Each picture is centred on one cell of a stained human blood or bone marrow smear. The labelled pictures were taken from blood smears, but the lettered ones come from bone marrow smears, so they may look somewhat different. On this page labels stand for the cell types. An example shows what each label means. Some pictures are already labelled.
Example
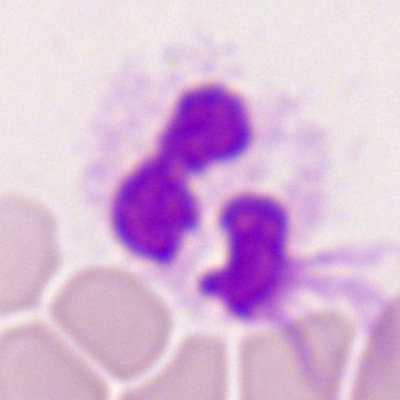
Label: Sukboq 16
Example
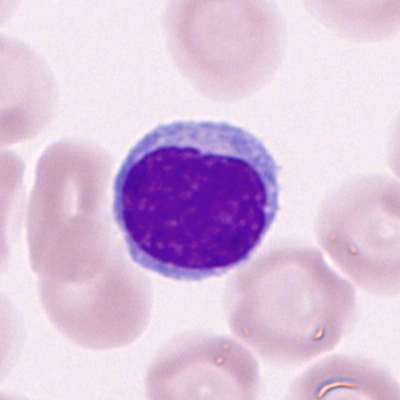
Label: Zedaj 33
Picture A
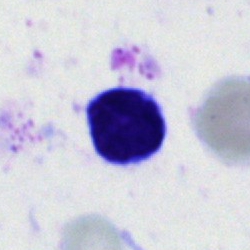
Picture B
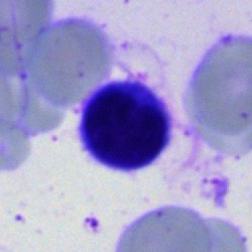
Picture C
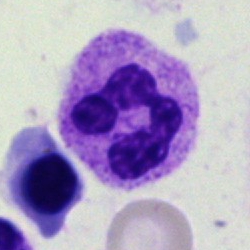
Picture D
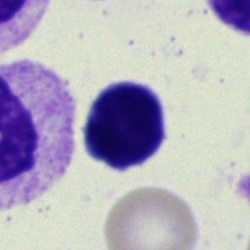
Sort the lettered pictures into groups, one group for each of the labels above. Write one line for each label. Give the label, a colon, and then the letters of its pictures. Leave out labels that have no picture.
Sukboq 16: C
Zedaj 33: A, B, D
